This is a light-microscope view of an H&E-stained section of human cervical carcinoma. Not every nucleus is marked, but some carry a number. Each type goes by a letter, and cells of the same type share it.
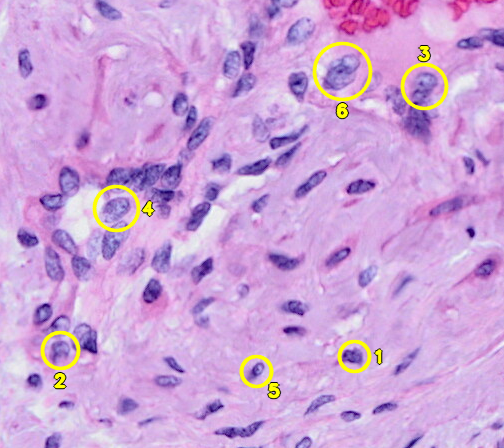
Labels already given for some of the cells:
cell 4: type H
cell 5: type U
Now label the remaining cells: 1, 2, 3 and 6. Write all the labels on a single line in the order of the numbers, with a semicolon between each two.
type U; type H; type H; type H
